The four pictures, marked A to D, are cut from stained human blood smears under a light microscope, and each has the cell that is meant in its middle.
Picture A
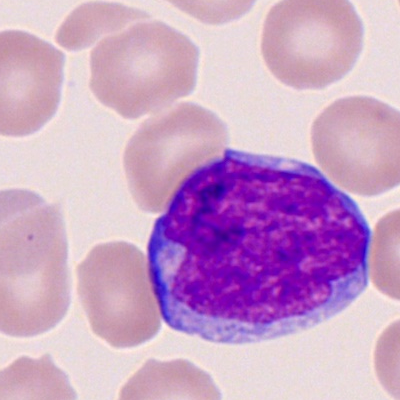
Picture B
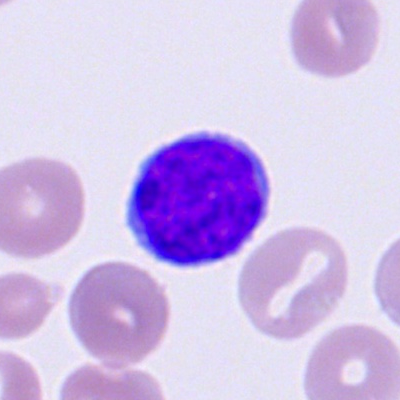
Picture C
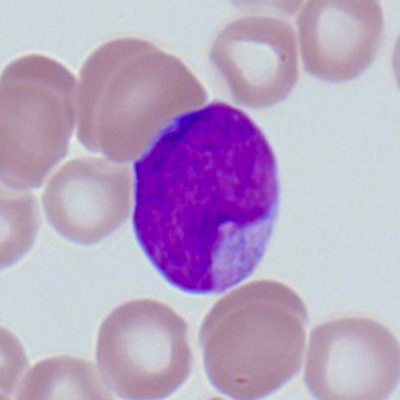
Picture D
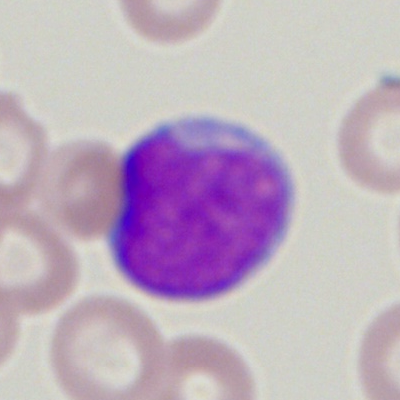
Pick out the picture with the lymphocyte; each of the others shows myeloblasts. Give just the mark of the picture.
B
